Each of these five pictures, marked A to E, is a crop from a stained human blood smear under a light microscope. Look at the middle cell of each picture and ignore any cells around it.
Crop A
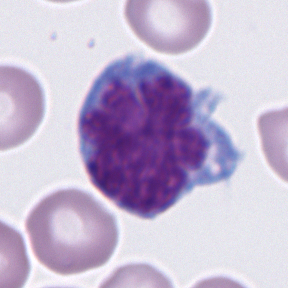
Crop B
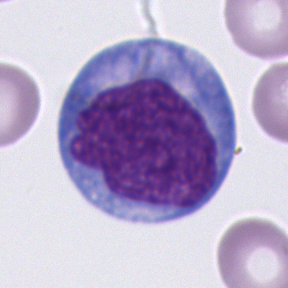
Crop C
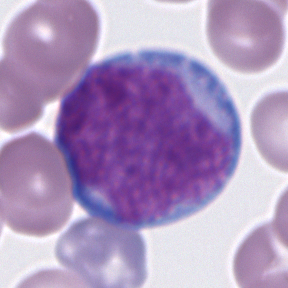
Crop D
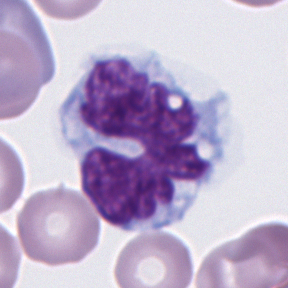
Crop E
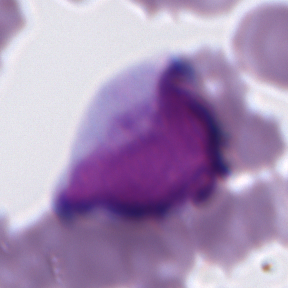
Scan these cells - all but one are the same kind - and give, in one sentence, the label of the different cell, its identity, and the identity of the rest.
The others are all myeloblasts; crop D is a monocyte.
